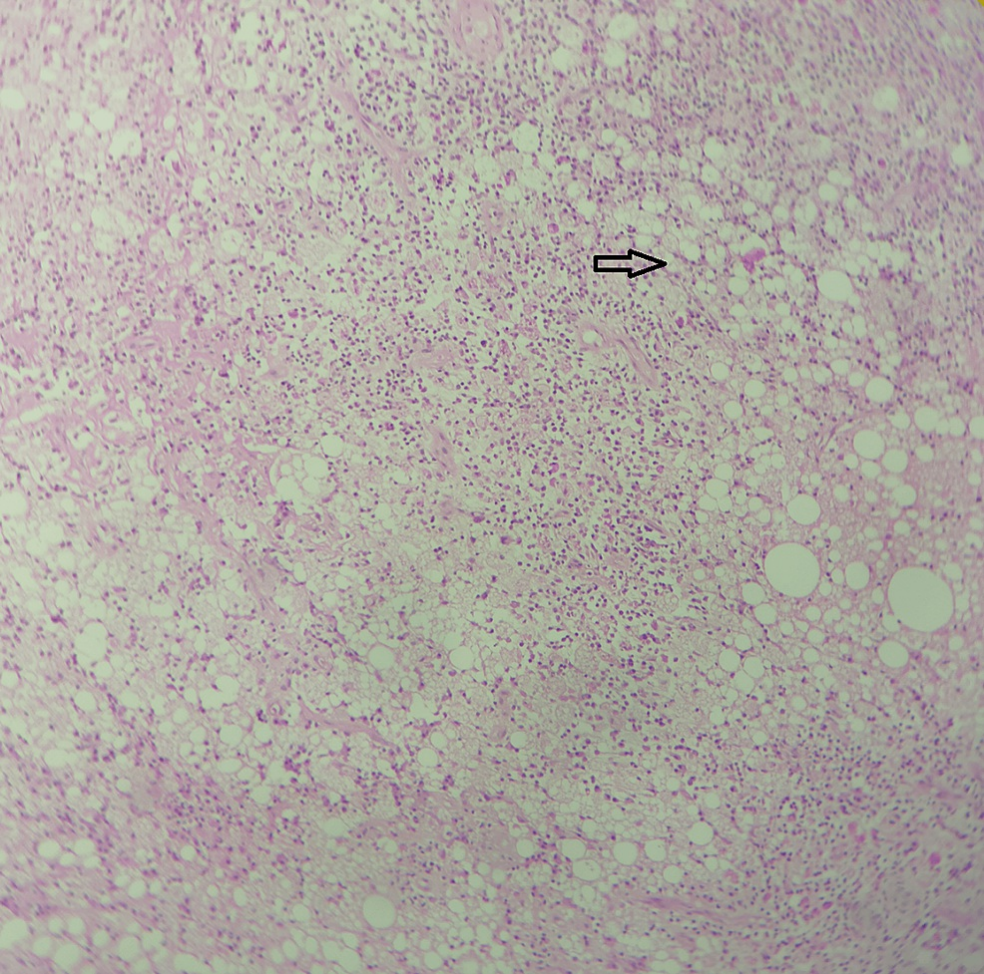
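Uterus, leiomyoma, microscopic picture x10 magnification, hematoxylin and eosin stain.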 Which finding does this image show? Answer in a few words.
Xanthogranulomatous reaction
